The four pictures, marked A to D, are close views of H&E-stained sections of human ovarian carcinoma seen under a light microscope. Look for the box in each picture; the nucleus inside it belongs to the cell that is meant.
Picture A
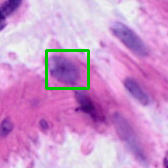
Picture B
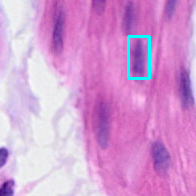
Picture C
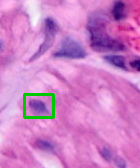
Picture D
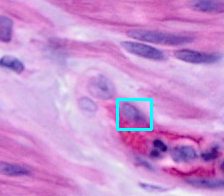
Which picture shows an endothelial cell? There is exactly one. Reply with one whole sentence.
Picture D is the one that shows the endothelial cell.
